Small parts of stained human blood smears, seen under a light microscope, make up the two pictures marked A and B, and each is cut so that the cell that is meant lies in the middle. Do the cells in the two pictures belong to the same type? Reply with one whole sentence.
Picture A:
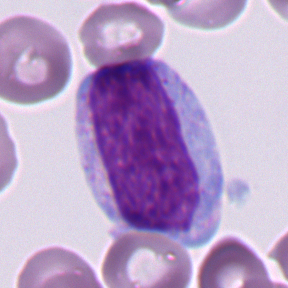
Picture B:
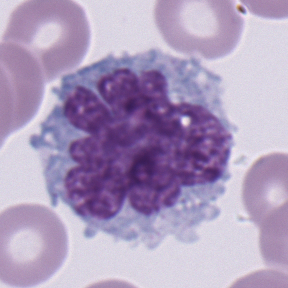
No; the cell in picture A is a myelocyte, while the one in picture B is a monocyte.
